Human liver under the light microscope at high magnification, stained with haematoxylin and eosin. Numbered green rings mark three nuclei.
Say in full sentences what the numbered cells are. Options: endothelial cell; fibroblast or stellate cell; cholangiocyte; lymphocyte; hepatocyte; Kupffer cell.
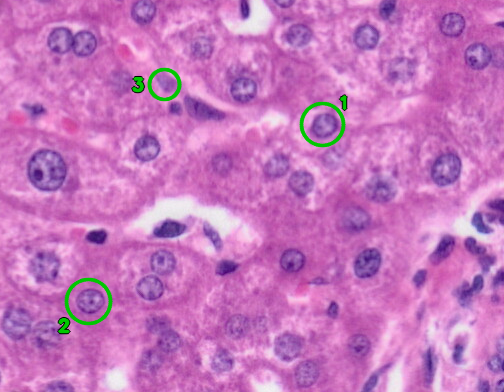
Cell 1 is a hepatocyte, cell 2 is a hepatocyte and cell 3 is a Kupffer cell.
